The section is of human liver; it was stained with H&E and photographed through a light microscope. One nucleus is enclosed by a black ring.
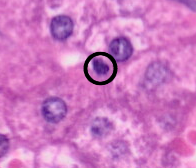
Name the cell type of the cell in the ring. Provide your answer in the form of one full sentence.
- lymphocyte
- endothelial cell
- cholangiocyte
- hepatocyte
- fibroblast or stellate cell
As classified here, the cell in the ring is a fibroblast or stellate cell.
